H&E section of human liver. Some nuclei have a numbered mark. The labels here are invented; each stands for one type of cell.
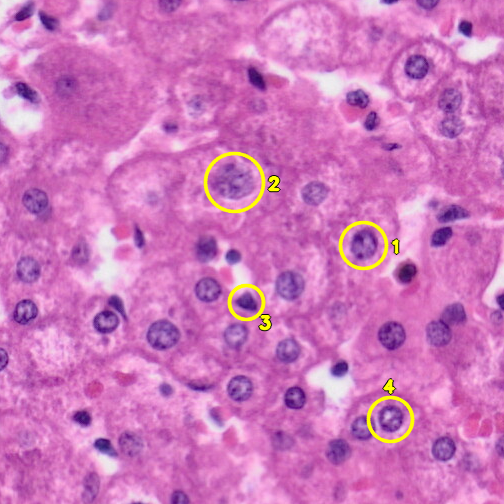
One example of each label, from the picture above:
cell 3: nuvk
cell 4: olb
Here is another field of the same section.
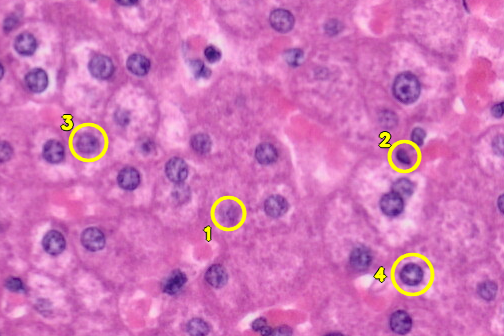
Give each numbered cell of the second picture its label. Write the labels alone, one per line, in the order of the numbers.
olb
nuvk
olb
olb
